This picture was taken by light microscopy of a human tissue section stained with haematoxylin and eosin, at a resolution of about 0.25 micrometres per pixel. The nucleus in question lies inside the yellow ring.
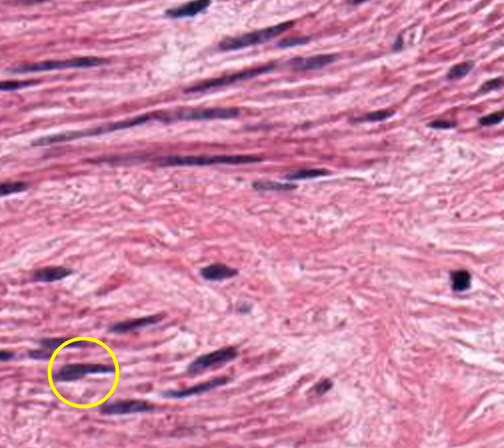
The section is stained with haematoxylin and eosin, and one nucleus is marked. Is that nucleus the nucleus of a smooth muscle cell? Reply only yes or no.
yes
